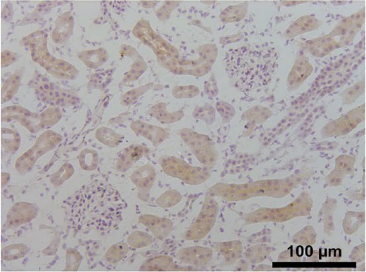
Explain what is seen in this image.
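This is kidney tissue with glomeruli and many tubules cut in cross and longitudinal section. The tubules are lined by cuboidal epithelial cells whose cytoplasm takes a tan to brown colour, with round blue nuclei along the walls. Two glomeruli appear as compact tufts crowded with blue nuclei, set in pale spaces. Between the tubules the interstitial spaces are wide and pale, with scattered blue nuclei.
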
